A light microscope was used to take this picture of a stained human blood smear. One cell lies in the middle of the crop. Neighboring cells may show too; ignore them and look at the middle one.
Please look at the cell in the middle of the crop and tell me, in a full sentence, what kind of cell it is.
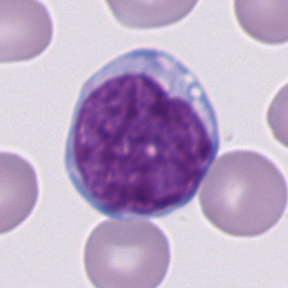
Present in the middle of the crop is a myeloblast.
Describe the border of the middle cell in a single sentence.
The edge of the cell is unbroken and smooth, bearing no projections.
